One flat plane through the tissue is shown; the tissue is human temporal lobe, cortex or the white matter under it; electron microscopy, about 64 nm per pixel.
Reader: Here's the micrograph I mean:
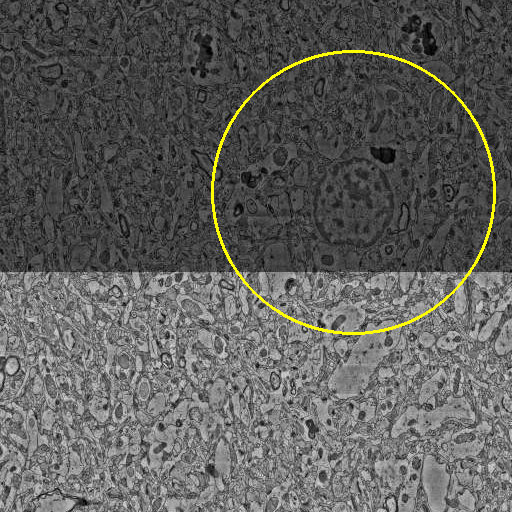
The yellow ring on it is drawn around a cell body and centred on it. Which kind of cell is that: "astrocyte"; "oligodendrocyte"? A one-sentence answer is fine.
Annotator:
The ring is centred on an oligodendrocyte.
